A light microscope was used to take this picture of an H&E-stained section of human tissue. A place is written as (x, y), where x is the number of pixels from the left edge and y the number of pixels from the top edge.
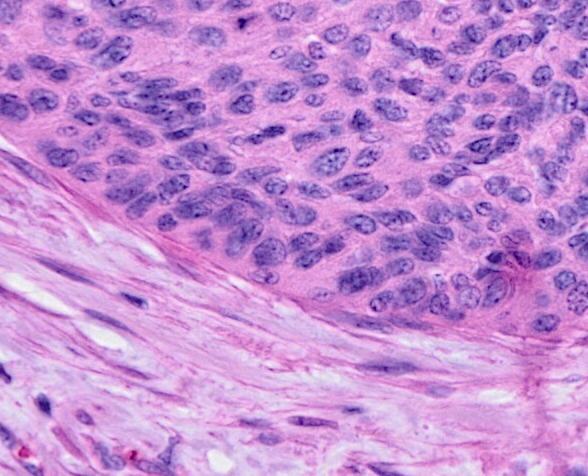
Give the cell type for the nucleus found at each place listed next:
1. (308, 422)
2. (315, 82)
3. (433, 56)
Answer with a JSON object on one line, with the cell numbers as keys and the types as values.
{"1": "fibroblast", "2": "squamous carcinoma cell", "3": "squamous carcinoma cell"}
